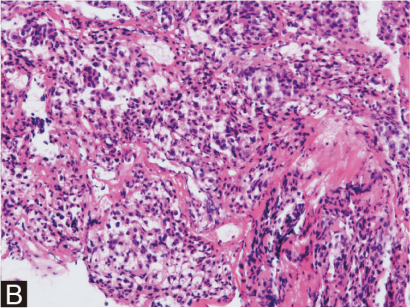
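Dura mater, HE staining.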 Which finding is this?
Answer: widely invaded by tumor cells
